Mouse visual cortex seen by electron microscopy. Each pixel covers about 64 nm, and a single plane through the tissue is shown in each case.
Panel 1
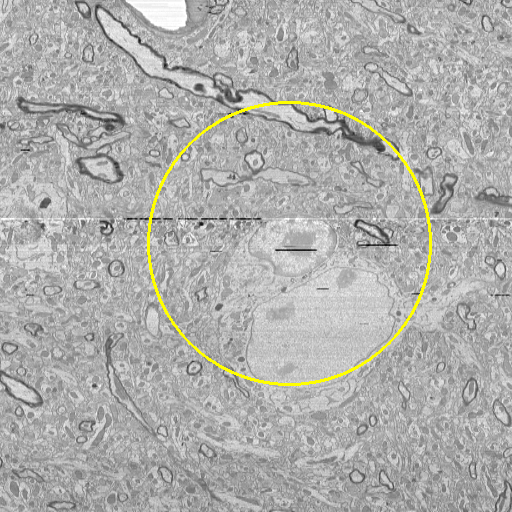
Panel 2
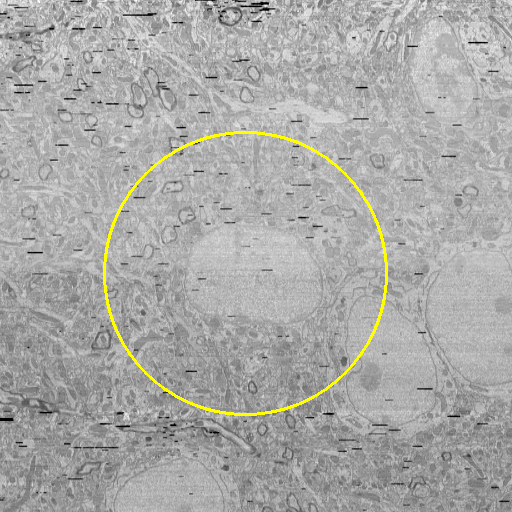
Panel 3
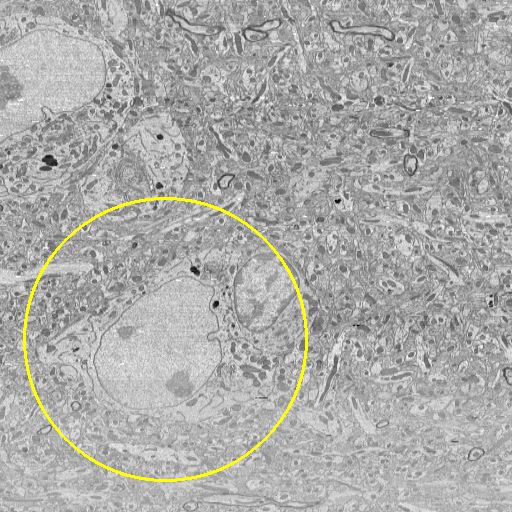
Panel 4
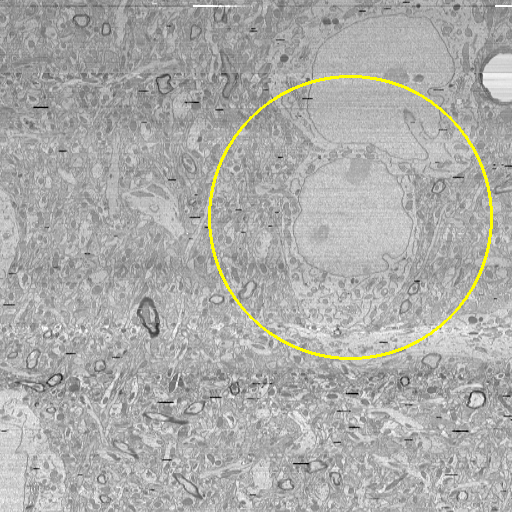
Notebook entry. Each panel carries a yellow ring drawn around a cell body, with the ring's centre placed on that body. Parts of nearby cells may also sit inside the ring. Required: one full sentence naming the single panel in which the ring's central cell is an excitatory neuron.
Panel 3 is the single one with the sought cell at its ring's centre.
